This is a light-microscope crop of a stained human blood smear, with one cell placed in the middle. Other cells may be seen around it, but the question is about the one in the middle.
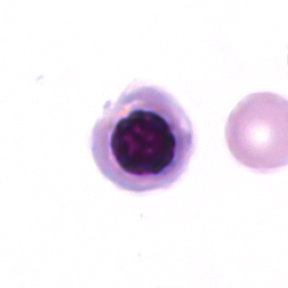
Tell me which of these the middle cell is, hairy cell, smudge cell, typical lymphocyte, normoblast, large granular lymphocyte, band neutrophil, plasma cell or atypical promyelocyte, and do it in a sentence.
Standing at the centre of this crop is a normoblast.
